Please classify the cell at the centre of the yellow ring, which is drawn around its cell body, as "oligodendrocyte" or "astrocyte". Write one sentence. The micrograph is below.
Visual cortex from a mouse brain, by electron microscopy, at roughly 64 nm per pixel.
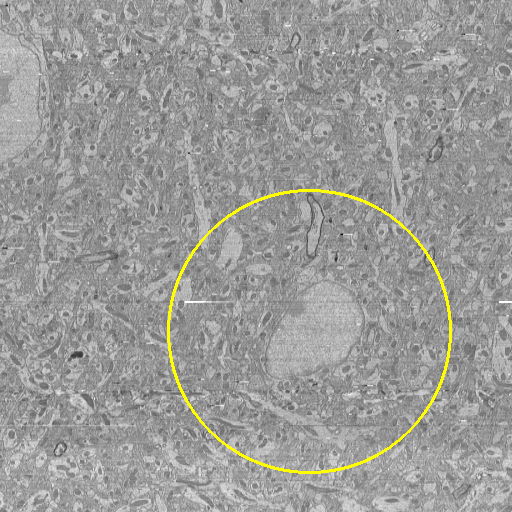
The cell at the ring's centre is classified as an astrocyte.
